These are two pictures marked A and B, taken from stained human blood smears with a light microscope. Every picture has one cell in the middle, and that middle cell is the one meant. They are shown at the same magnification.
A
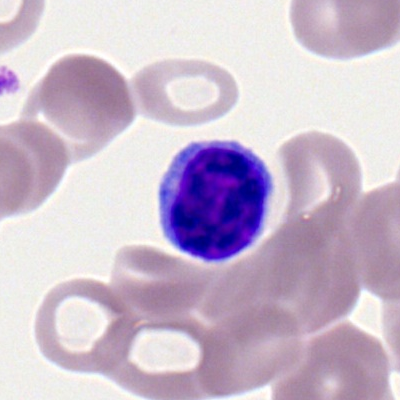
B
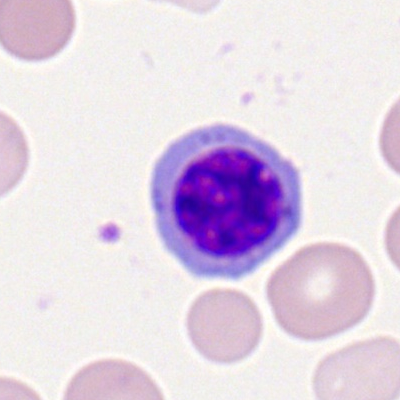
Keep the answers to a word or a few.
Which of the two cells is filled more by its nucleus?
A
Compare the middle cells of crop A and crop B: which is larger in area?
B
